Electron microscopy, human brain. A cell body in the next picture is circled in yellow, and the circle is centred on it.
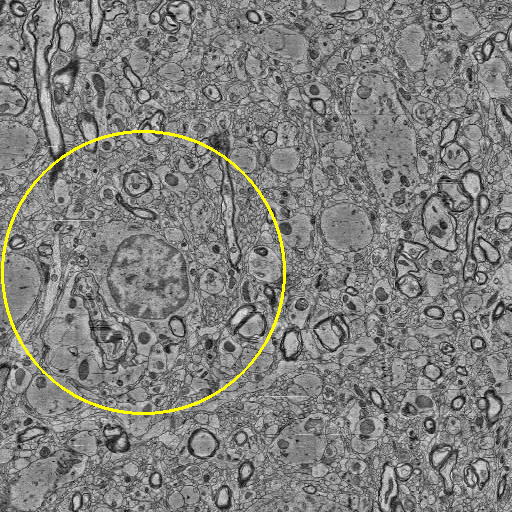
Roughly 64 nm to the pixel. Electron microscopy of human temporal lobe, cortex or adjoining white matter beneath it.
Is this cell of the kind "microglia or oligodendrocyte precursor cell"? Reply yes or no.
no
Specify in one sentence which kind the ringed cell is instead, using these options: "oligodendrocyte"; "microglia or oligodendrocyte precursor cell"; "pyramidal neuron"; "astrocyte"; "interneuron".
The ring's central cell is an oligodendrocyte instead.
